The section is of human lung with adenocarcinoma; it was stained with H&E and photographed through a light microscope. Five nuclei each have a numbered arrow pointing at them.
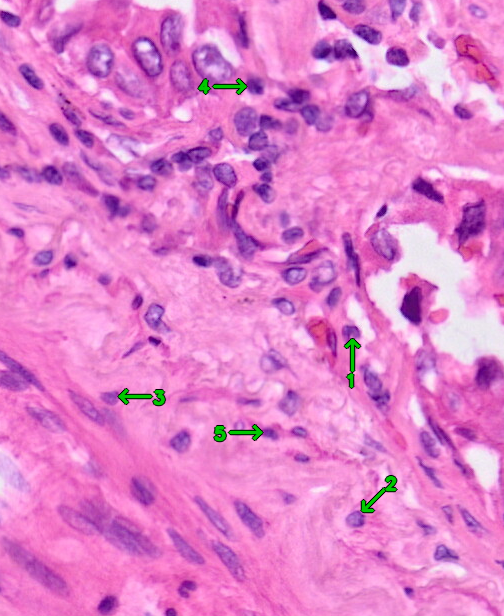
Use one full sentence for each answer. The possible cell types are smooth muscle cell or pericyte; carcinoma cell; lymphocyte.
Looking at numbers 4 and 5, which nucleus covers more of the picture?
Nucleus 4 is larger, with an area about 2 times that of nucleus 5.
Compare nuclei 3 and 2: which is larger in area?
Nucleus 2 covers more area, about 1.5 times as much as nucleus 3.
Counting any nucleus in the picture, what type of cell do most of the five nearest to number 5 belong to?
The majority of the five nuclei closest to number 5 belong to smooth muscle cells or pericytes.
